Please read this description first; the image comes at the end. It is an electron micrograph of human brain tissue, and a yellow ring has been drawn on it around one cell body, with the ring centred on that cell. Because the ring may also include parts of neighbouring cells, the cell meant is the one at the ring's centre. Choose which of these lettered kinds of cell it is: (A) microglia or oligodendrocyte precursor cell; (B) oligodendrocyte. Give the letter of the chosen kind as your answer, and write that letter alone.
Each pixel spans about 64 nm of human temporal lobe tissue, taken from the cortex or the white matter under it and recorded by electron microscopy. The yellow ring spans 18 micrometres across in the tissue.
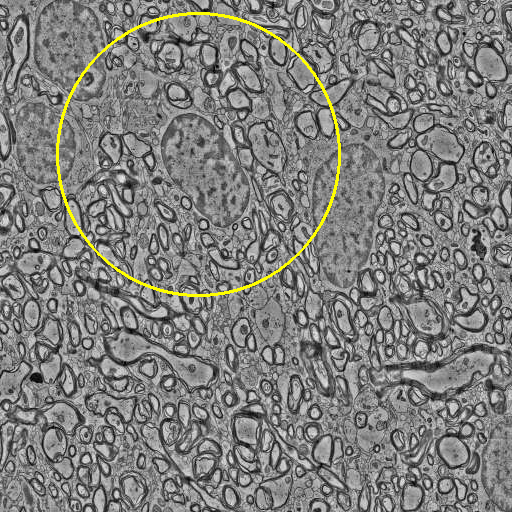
A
